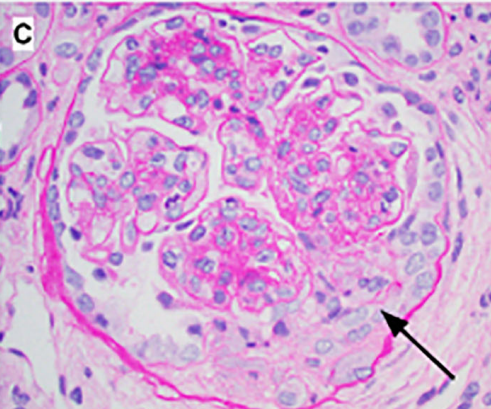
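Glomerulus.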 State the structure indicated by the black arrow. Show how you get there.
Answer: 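At the arrow a layer of cells fills Bowman's space between the tuft and the capsule. It occupies only part of the circumference.
Conclusion: segmental cellular crescents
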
